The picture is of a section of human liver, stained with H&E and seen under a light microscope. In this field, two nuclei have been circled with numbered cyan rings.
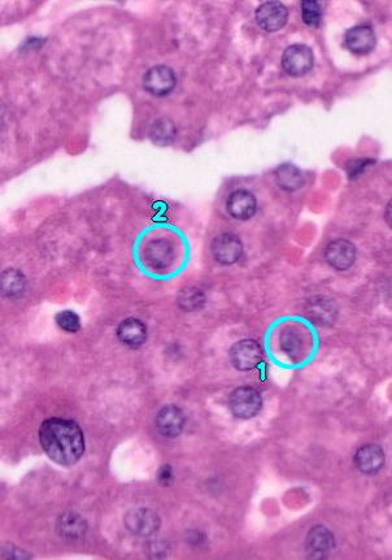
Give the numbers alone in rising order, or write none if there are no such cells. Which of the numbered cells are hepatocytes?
2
